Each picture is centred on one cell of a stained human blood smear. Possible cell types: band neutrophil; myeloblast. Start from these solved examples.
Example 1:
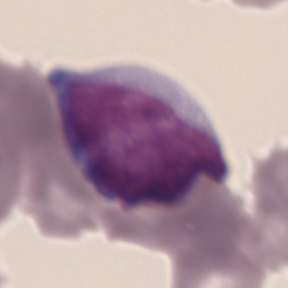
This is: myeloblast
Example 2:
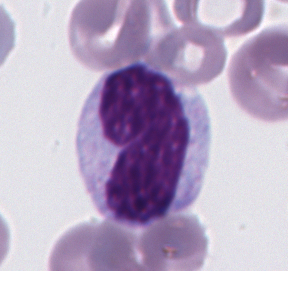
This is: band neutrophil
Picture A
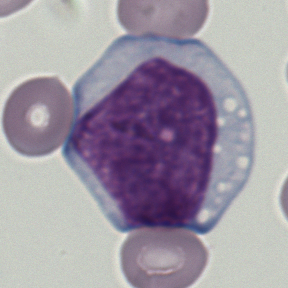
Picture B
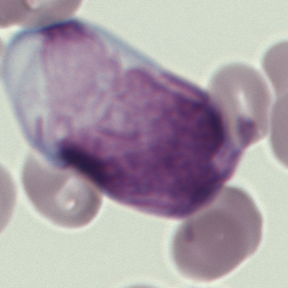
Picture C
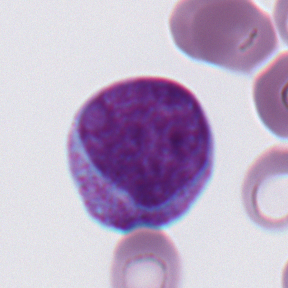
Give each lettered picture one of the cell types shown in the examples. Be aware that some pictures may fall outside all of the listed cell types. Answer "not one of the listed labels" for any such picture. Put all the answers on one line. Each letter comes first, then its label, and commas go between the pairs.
A myeloblast, B not one of the listed labels, C not one of the listed labels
